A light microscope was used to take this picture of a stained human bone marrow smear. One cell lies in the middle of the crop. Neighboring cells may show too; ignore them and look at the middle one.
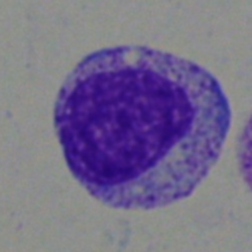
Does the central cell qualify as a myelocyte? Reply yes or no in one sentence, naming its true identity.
Yes, the central cell here is a myelocyte.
